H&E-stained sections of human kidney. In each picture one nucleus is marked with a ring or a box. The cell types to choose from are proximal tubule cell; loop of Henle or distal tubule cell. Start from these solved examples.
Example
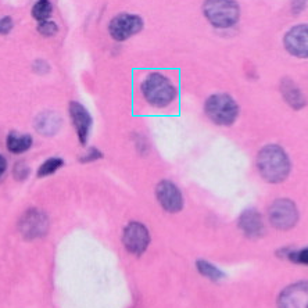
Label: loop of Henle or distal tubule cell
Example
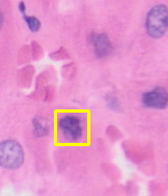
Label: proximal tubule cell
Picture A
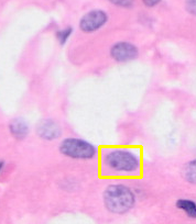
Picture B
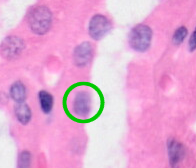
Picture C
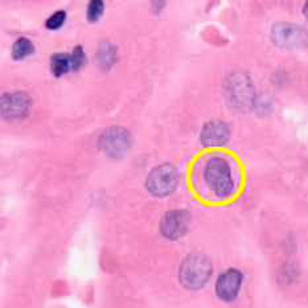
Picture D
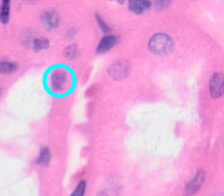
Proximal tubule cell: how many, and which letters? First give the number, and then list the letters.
Count: 1 (C)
